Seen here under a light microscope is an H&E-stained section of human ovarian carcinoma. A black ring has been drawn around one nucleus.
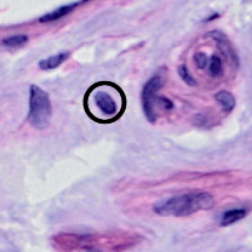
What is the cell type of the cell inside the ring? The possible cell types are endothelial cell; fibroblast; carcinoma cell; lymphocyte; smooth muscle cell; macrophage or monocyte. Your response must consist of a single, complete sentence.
The cell type of the cell inside the ring is that of a lymphocyte.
